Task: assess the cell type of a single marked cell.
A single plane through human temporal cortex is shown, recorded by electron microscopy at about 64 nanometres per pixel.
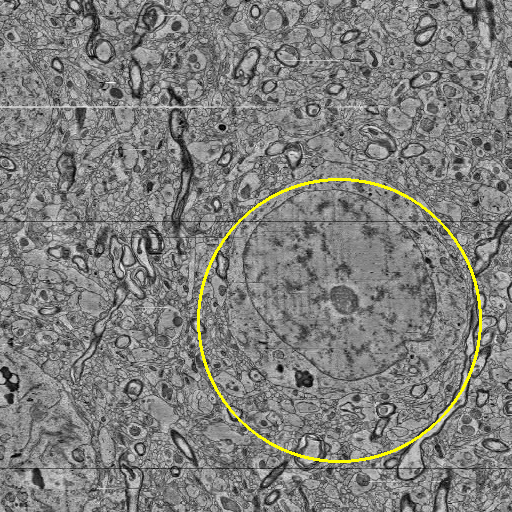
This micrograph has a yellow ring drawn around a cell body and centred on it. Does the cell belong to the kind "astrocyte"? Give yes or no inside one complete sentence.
No, the marked cell at the centre of the ring belongs to another kind.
